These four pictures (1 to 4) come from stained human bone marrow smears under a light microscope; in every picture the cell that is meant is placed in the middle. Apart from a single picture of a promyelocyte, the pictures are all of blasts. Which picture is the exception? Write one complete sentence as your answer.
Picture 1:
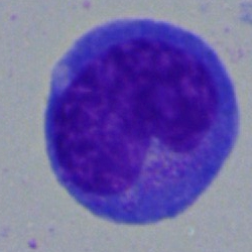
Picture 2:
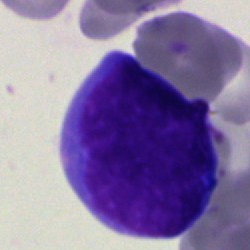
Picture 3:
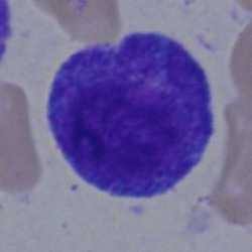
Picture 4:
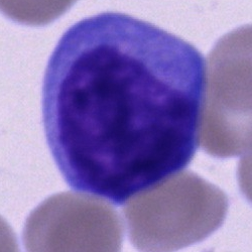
It is picture 3 that shows the promyelocyte.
